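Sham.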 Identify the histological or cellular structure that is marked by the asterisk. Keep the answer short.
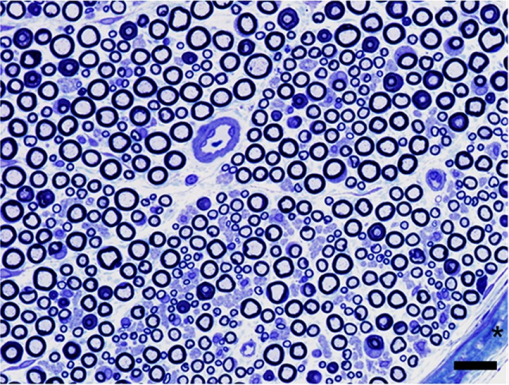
Perineurium.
